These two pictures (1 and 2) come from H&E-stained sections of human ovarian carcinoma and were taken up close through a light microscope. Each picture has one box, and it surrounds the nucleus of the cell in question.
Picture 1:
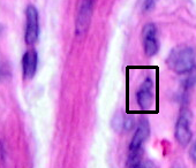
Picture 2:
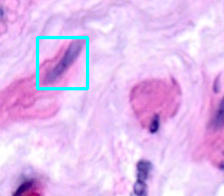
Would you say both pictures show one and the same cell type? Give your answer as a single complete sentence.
No, the types are not the same, since picture 1 shows an endothelial cell and picture 2 a smooth muscle cell.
